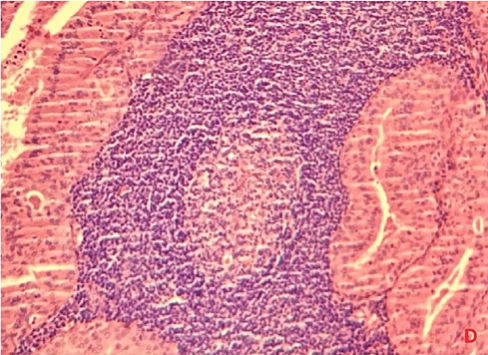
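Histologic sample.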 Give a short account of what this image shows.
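This is a Warthin tumor, with papillary structures lined by oncocytic epithelial cells set in a lymphoid stroma. A broad band of densely packed small lymphoid cells with dark purple nuclei runs through the centre of the field. Within this band lies a paler rounded zone resembling a germinal centre. On either side, pink epithelium with abundant eosinophilic cytoplasm lines narrow cleft-like spaces in rows.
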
